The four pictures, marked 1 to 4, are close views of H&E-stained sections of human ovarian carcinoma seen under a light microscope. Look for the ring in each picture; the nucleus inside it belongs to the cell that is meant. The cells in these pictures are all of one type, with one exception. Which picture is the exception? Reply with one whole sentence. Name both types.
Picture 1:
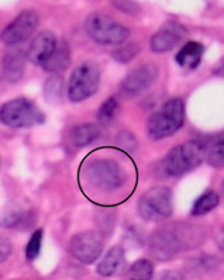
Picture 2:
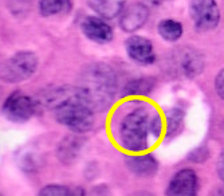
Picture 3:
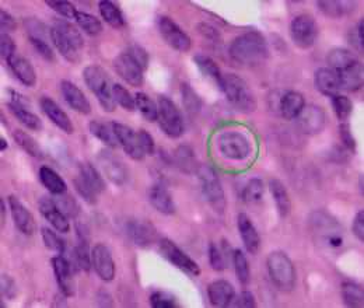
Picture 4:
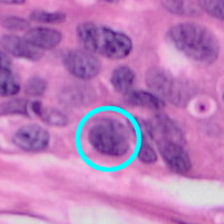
Picture 3 is the odd one out: it shows a “macrophage or monocyte”, while the others show carcinoma cells.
